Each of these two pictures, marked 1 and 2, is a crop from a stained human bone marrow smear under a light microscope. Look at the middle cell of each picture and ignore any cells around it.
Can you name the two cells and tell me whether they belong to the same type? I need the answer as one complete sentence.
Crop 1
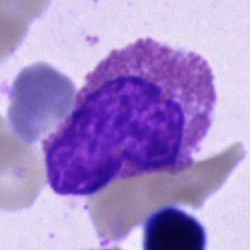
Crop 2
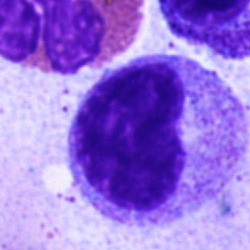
No, crop 1 shows an eosinophil, whereas a myelocyte is what crop 2 shows.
